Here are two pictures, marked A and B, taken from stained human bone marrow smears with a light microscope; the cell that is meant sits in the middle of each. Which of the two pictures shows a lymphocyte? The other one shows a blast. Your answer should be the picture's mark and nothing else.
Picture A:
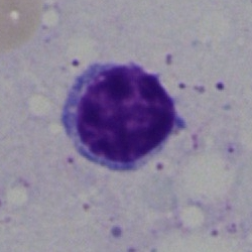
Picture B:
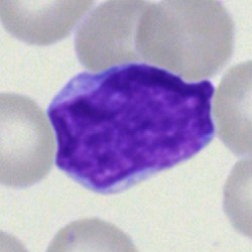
A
